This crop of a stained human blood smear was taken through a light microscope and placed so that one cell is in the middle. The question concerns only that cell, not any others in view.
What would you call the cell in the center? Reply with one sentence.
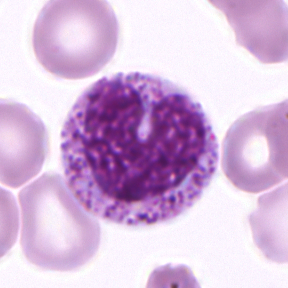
The crop shows a band neutrophil in its centre.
